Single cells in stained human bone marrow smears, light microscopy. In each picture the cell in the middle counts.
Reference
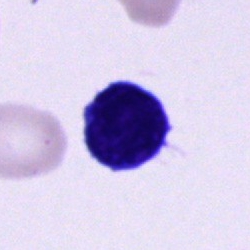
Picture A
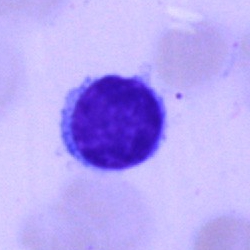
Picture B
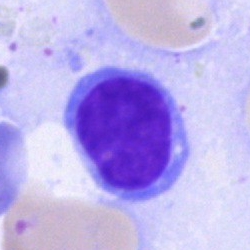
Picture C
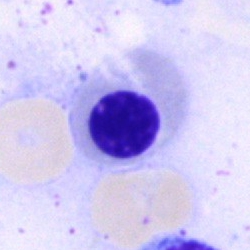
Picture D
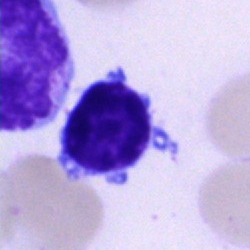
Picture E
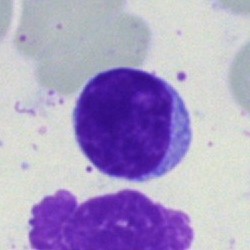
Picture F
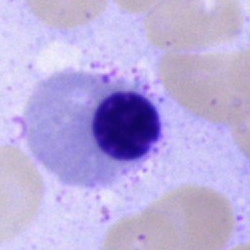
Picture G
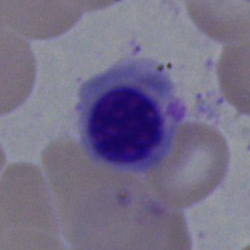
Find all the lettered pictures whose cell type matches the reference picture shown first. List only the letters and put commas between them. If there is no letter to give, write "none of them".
A, B, D, E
